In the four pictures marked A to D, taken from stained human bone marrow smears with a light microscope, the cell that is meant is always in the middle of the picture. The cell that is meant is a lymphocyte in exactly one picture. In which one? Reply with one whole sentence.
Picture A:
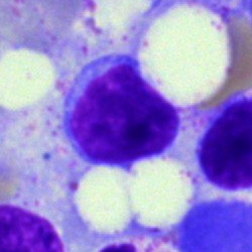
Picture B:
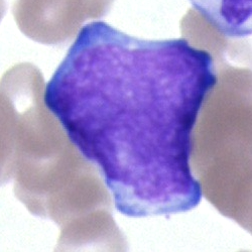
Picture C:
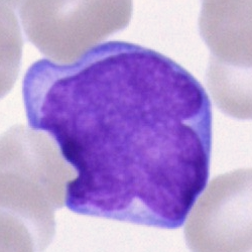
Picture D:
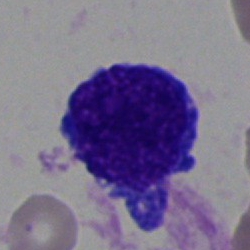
The lymphocyte is the one in picture A.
